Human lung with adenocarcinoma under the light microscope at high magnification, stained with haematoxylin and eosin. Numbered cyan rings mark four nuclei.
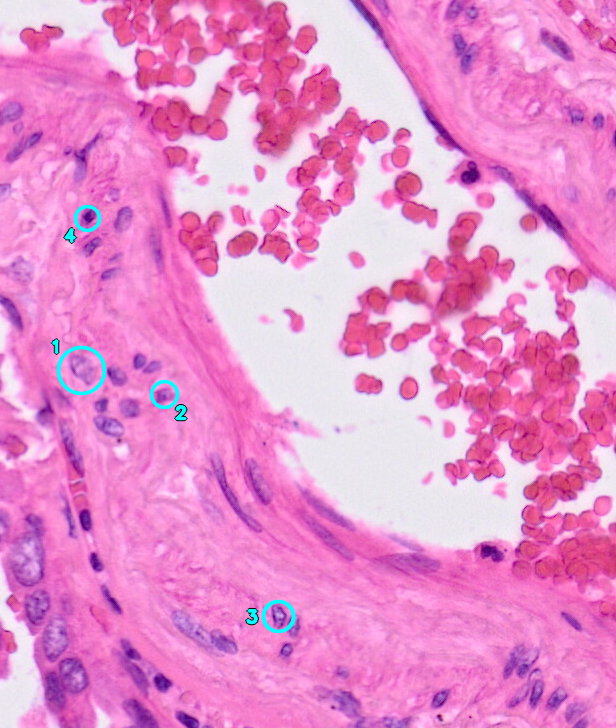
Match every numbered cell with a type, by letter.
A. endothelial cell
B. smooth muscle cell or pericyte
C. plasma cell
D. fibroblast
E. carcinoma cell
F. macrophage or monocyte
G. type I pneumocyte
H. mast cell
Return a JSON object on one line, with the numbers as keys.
{"1": "D", "2": "B", "3": "B", "4": "B"}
